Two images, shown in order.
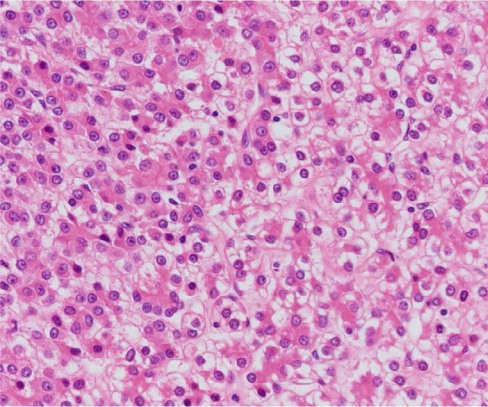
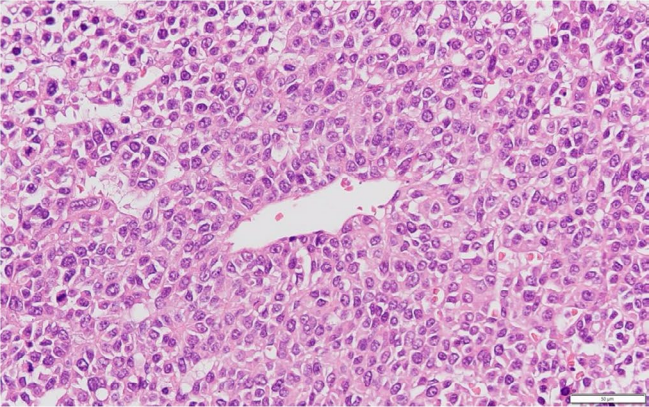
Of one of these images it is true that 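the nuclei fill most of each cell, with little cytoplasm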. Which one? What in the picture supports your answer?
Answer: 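Second image: small crowded cells whose nuclei take up most of the cell. First image: larger cells with small nuclei in wide clear to pink cytoplasm. That points to this answer: the second image.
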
